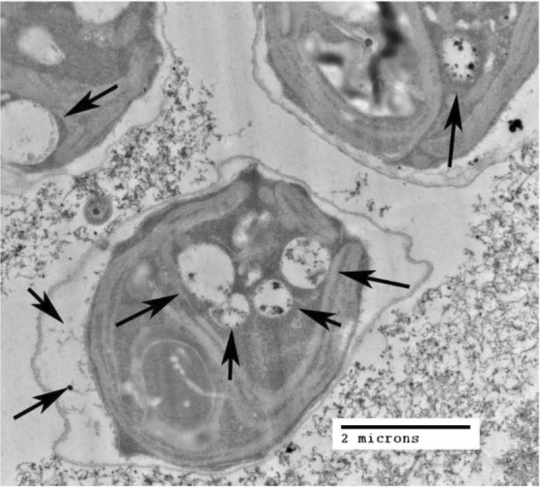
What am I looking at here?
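Several algal cells in a transmission electron micrograph, one whole cell below and parts of two others above, lying in a background of fine dark fibrous clumps outside the cells. Each cell is surrounded by a loose wall separated from the cell body by a clear space. Curved chloroplast membranes in parallel stacks run along the periphery of the cytoplasm. Inside the lower cell several round clear vacuoles are crowded together, some holding dark granular particles; a similar vacuole with dark dots appears in the upper right cell. Small dark dots also lie on the loose outer wall.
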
